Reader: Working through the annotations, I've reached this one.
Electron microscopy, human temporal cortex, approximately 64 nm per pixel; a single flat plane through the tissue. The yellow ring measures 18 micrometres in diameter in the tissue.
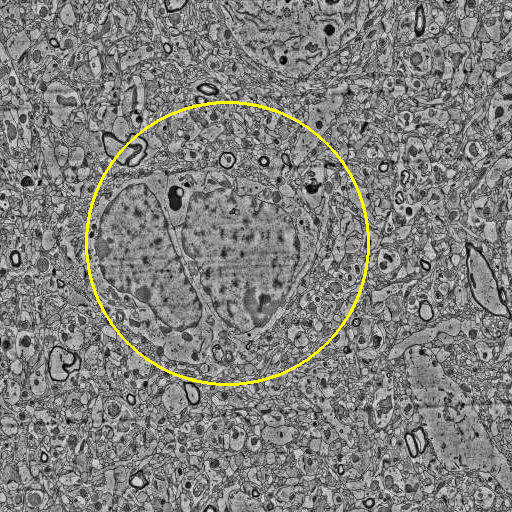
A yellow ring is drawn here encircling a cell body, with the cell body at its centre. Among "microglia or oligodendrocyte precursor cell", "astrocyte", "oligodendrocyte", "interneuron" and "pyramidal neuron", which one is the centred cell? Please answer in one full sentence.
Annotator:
The cell body at the centre of the yellow ring in this image belongs to an interneuron.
